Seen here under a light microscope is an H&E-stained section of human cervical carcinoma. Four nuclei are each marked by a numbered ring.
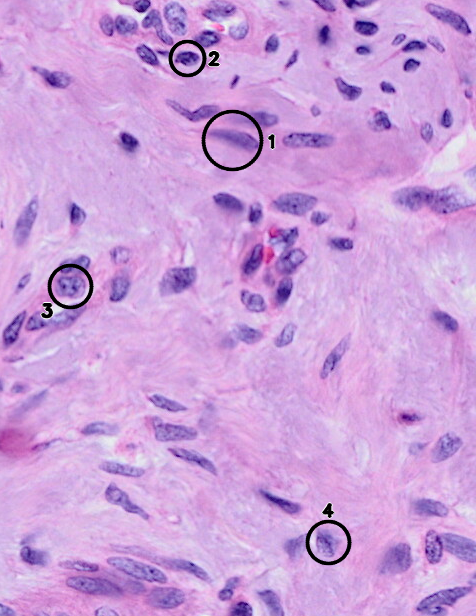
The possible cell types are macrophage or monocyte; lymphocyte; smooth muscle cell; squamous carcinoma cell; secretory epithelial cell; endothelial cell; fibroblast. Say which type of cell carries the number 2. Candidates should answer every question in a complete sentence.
At number 2, the marked cell is a lymphocyte.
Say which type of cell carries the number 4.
That cell with number 4 is a fibroblast.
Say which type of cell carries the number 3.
The cell indicated by marker 3 is an endothelial cell in this section.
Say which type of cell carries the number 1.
That cell with number 1 is a fibroblast.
